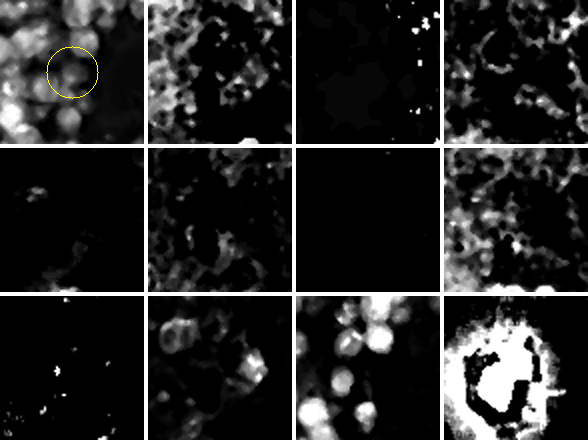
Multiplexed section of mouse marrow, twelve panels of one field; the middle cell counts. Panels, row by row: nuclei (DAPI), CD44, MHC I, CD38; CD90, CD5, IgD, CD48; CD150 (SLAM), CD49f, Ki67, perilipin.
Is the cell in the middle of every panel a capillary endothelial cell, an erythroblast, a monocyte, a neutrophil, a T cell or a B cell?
It is a neutrophil.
